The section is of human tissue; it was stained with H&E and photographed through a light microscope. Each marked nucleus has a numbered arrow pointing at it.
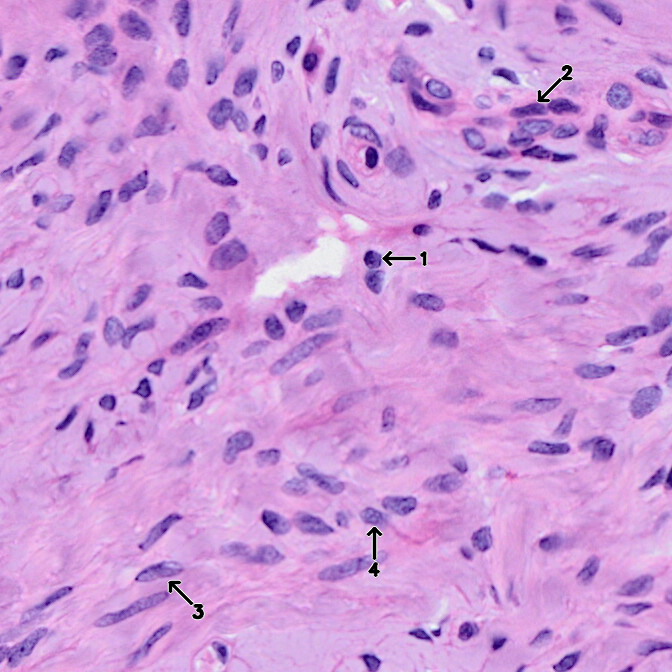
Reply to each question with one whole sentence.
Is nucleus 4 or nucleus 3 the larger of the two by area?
At about 1.5 times the area of nucleus 4, nucleus 3 is the larger of the two.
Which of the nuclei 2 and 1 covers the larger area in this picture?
Nucleus 2 covers more area, about 1.5 times as much as nucleus 1.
